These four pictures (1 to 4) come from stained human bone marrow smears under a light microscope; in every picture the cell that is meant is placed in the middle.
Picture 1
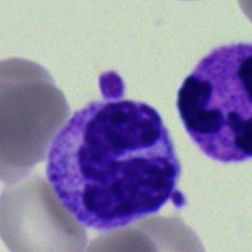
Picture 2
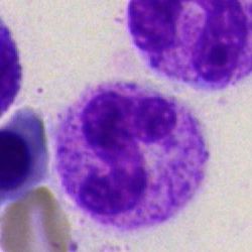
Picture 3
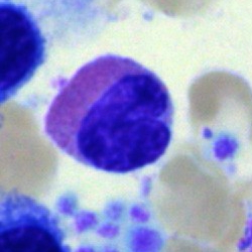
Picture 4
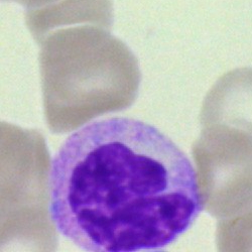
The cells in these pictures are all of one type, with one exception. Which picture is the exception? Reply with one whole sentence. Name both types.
Unlike the rest, which show segmented neutrophils, picture 3 shows an eosinophil.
